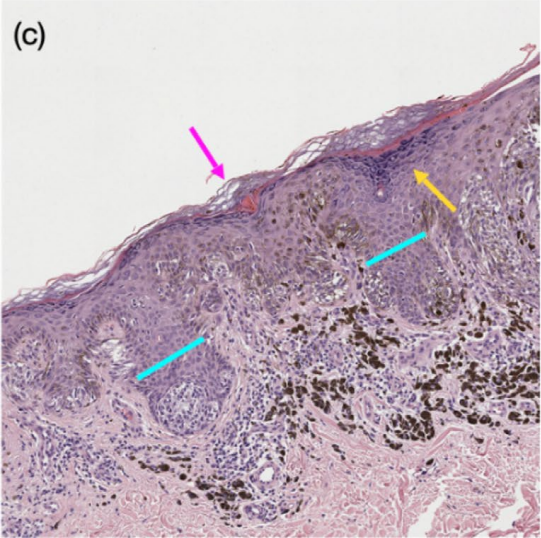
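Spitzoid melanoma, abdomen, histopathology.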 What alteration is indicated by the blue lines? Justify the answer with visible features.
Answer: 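The lines lie across wide, bulbous downgrowths of epidermis into the dermis.
Conclusion: broadened retes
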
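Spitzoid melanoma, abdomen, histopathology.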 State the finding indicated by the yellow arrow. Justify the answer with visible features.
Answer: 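Wedge‐shaped hypergranulosis. The arrow points at a dark purple, thickened granular zone beneath the surface. The dark granular band widens into a wedge pointing down into the epidermis.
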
